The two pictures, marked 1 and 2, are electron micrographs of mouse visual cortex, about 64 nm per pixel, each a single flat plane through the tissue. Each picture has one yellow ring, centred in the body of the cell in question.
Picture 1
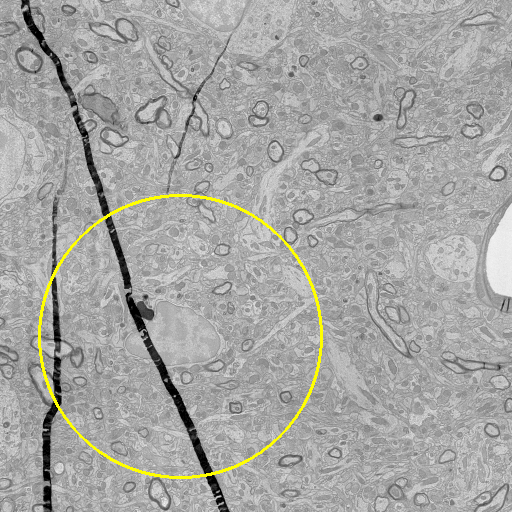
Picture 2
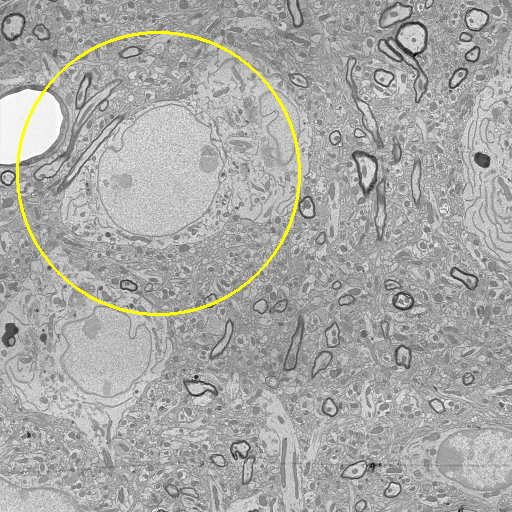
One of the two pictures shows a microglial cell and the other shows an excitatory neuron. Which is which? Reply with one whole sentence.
Picture 1 is of a microglial cell, and picture 2 is of an excitatory neuron.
